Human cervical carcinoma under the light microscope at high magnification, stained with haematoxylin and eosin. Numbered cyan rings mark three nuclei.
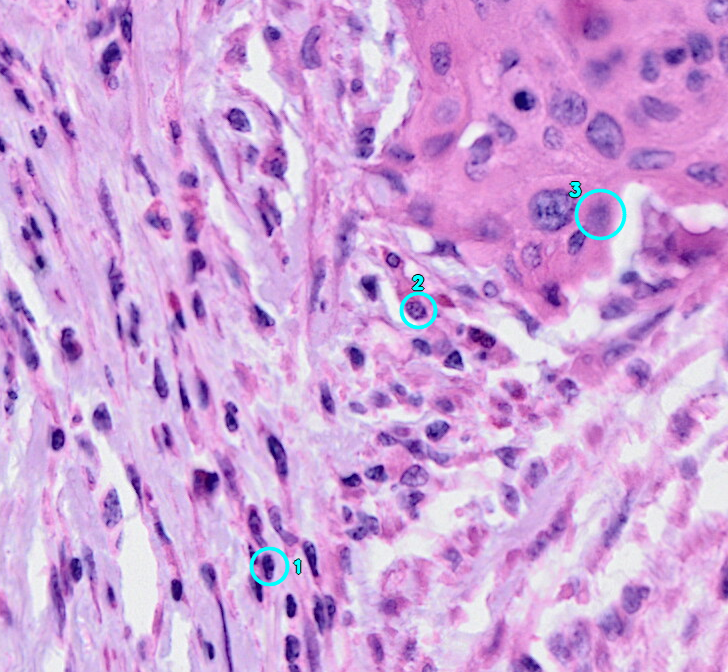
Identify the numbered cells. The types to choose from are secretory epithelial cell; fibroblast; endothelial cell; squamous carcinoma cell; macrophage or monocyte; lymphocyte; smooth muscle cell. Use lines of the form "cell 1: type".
cell 1: lymphocyte
cell 2: lymphocyte
cell 3: squamous carcinoma cell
